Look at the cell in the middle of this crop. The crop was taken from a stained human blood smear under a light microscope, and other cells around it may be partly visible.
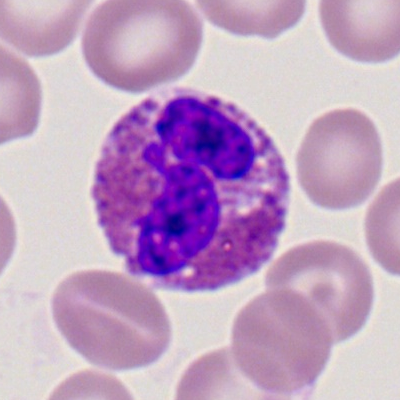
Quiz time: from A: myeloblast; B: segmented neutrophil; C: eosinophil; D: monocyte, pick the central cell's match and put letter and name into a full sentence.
Option C is to be chosen, as the central cell is an eosinophil.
